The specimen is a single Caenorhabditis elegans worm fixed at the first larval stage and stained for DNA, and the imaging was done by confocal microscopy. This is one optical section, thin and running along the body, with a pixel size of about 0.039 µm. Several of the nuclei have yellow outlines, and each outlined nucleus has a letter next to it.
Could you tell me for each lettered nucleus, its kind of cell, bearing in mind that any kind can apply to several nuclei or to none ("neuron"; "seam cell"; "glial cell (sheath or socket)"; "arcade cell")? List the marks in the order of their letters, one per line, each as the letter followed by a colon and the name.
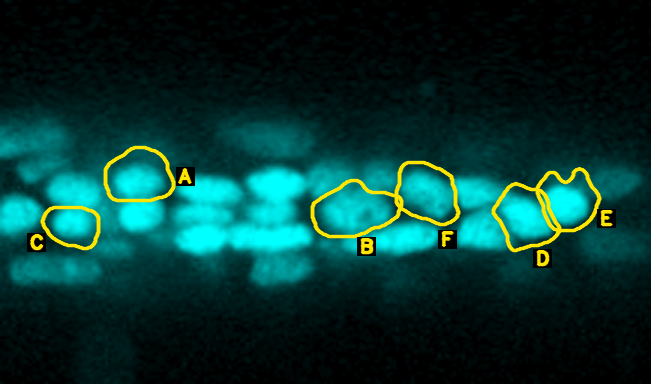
A: neuron
B: seam cell
C: neuron
D: arcade cell
E: arcade cell
F: glial cell (sheath or socket)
